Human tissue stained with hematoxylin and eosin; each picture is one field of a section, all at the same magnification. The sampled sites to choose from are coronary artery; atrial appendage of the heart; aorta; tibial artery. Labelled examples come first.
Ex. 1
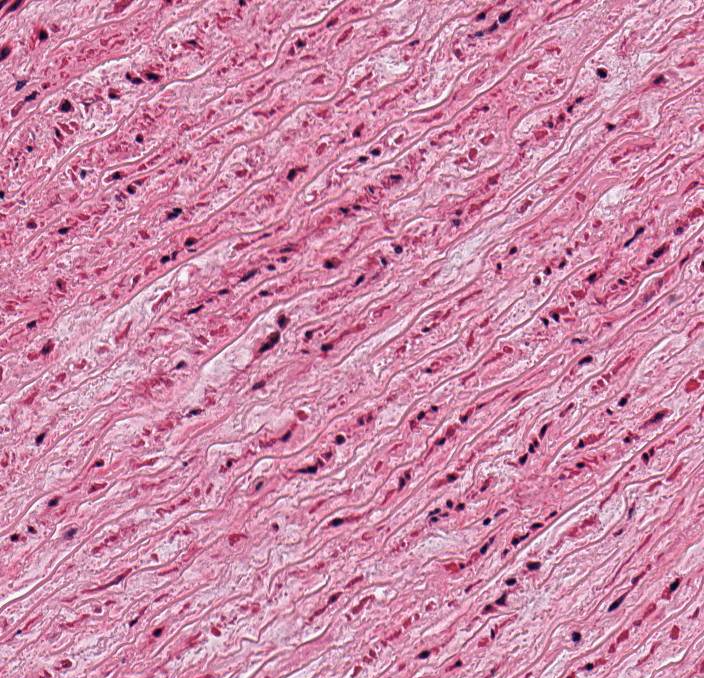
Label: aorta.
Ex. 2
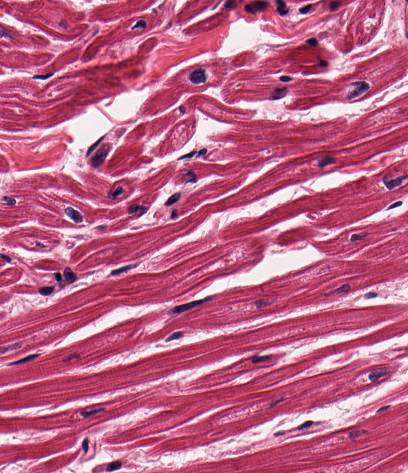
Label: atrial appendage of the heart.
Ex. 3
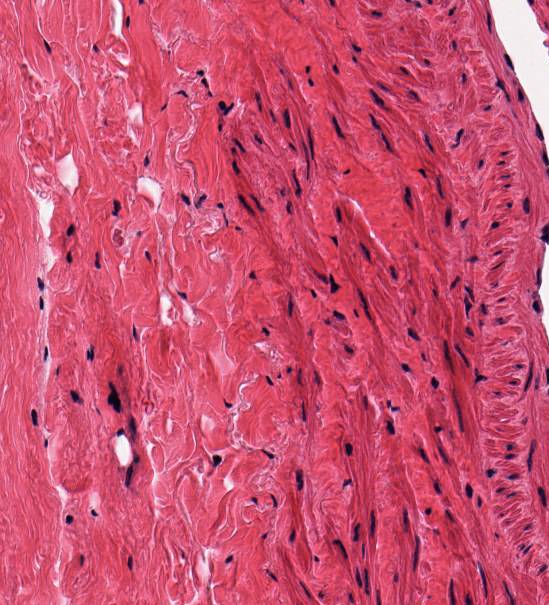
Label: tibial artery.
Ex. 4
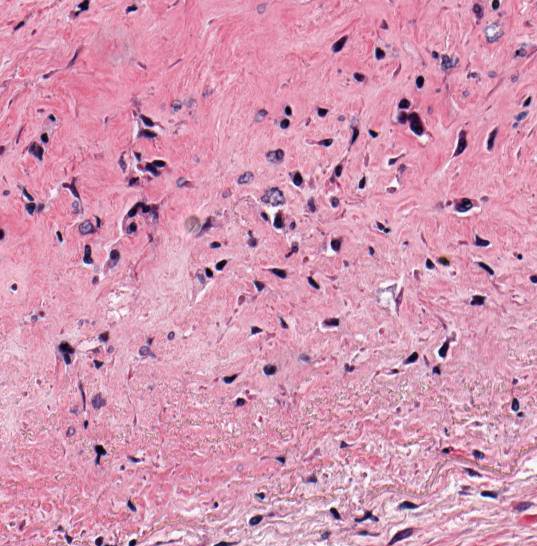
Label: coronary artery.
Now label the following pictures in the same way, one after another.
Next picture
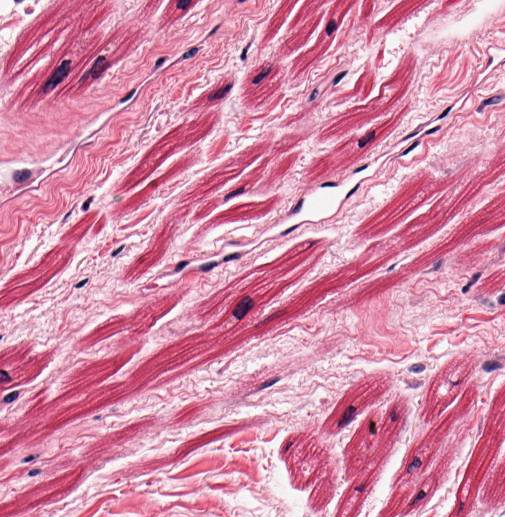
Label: atrial appendage of the heart.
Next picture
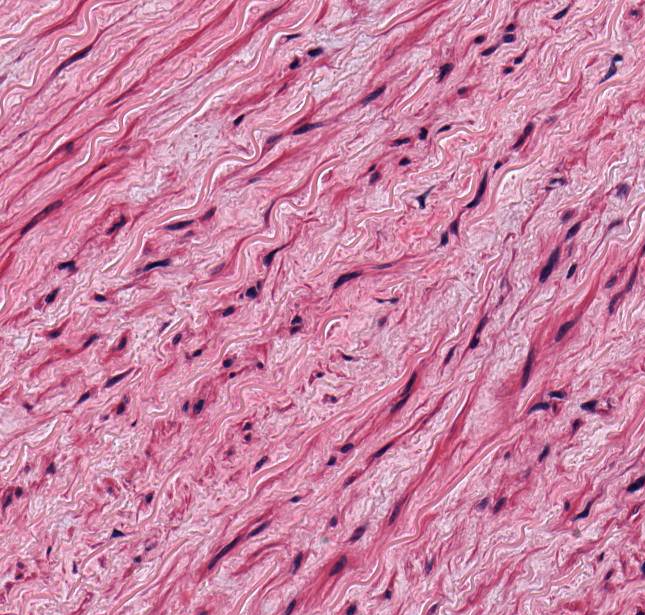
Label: aorta.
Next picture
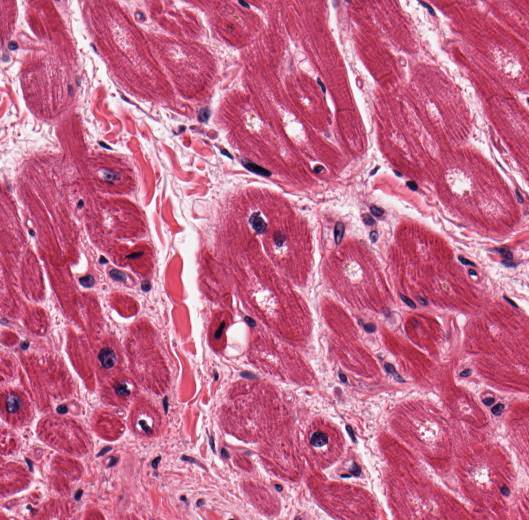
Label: atrial appendage of the heart.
